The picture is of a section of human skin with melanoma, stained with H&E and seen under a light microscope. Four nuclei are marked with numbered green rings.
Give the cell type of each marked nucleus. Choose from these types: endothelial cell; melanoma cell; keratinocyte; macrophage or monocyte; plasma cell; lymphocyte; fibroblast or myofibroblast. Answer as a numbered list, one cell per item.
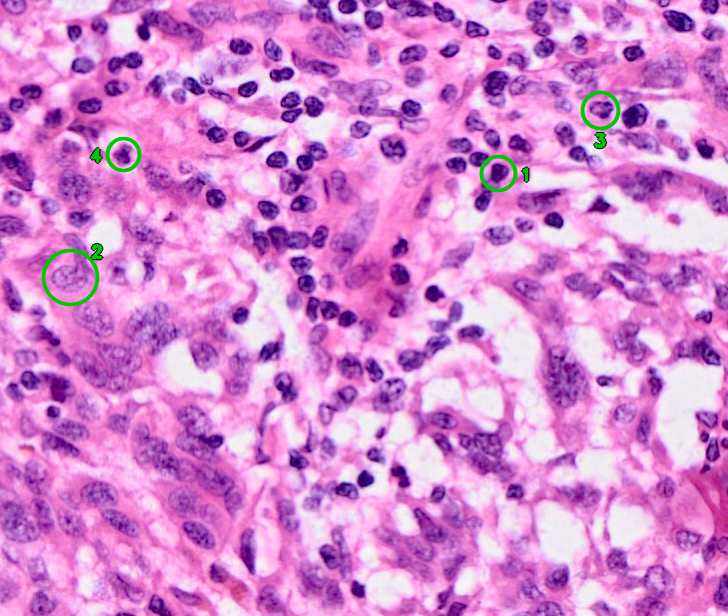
1. lymphocyte
2. melanoma cell
3. lymphocyte
4. lymphocyte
